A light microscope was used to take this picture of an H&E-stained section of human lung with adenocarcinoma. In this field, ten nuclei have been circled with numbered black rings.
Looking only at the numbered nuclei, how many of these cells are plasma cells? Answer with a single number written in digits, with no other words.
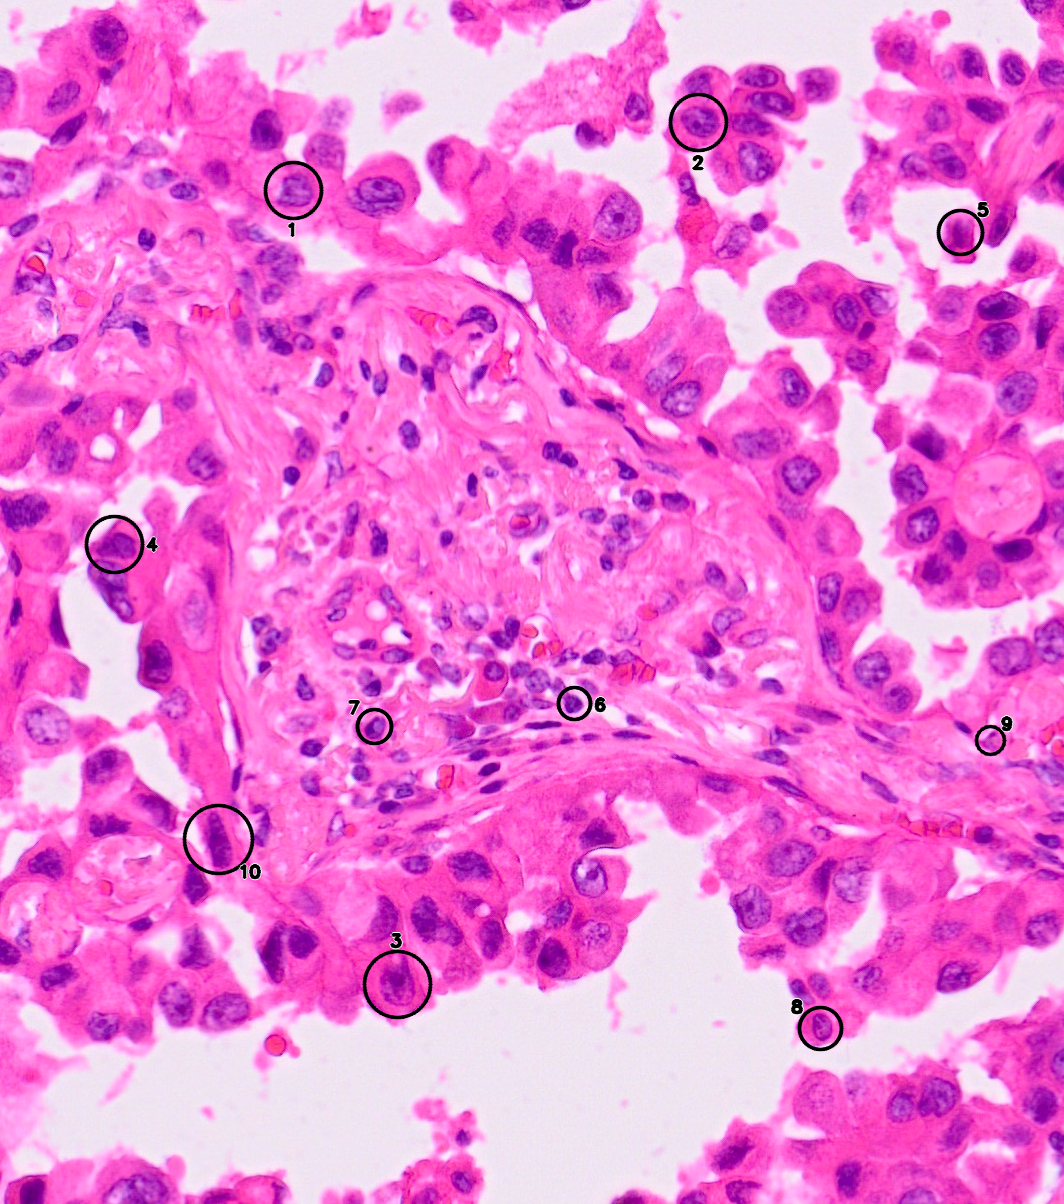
1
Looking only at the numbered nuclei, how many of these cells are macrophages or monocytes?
1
